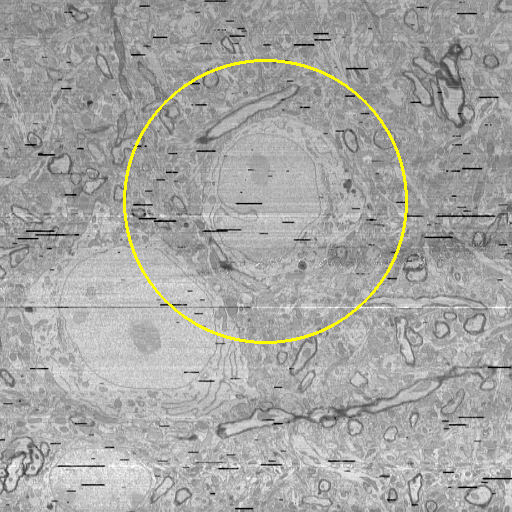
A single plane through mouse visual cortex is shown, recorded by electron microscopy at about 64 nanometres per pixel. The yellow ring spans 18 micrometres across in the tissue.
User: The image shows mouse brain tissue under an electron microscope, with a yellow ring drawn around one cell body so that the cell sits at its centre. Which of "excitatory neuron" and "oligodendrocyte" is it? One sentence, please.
At the centre of the ring sits an excitatory neuron.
